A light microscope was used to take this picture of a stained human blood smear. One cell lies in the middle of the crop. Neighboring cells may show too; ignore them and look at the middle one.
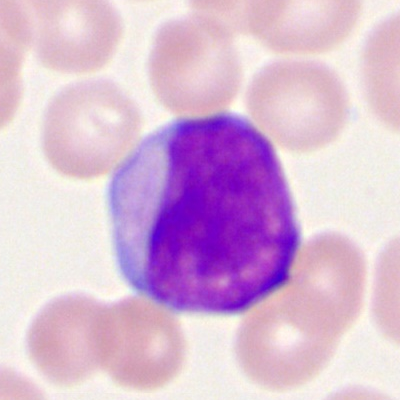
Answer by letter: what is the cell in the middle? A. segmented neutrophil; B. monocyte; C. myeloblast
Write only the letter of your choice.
C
